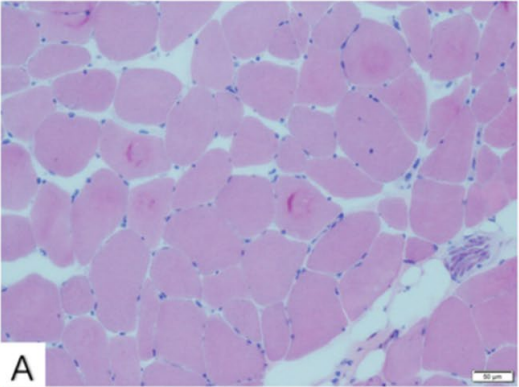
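Cross-section of skeletal muscle with polygonal fibers of varying size, each with small dark peripheral nuclei and pink cytoplasm separated by thin pale connective tissue. A small nerve or vessel bundle lies in the connective tissue at the lower right.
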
